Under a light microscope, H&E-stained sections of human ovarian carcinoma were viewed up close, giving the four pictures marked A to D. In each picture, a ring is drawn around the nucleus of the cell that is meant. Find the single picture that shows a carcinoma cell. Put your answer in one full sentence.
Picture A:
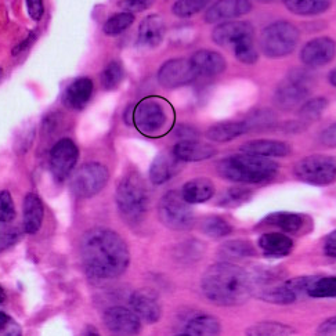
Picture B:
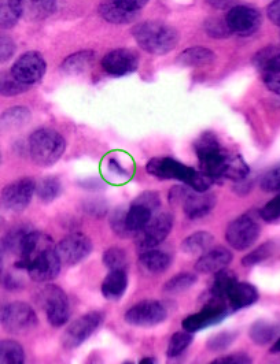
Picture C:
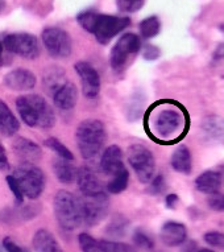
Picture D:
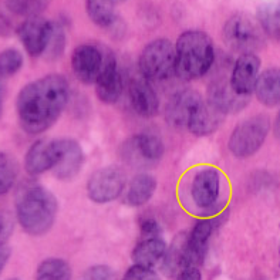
Picture A is the one that shows the carcinoma cell.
